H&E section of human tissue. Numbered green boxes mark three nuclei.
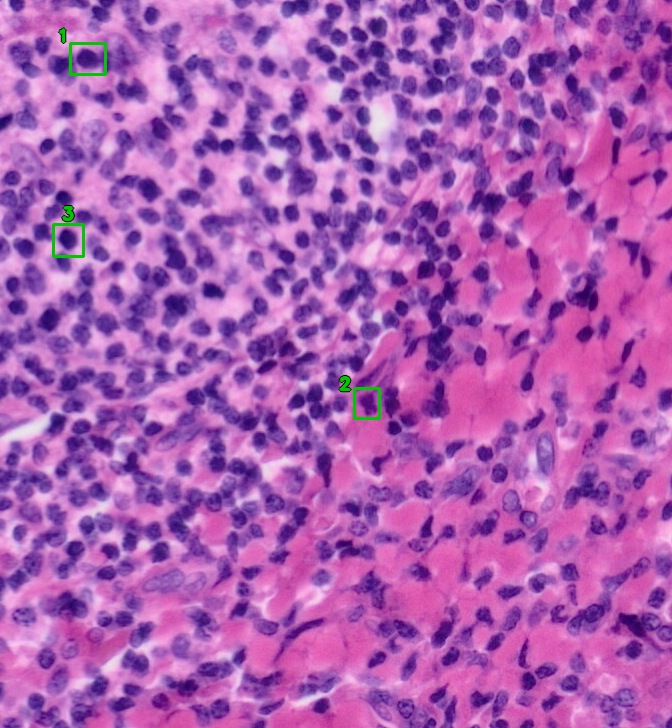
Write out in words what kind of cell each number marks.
Cell 1 is a proliferating B cell, cell 2 is an endothelial cell and cell 3 is a proliferating B cell.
